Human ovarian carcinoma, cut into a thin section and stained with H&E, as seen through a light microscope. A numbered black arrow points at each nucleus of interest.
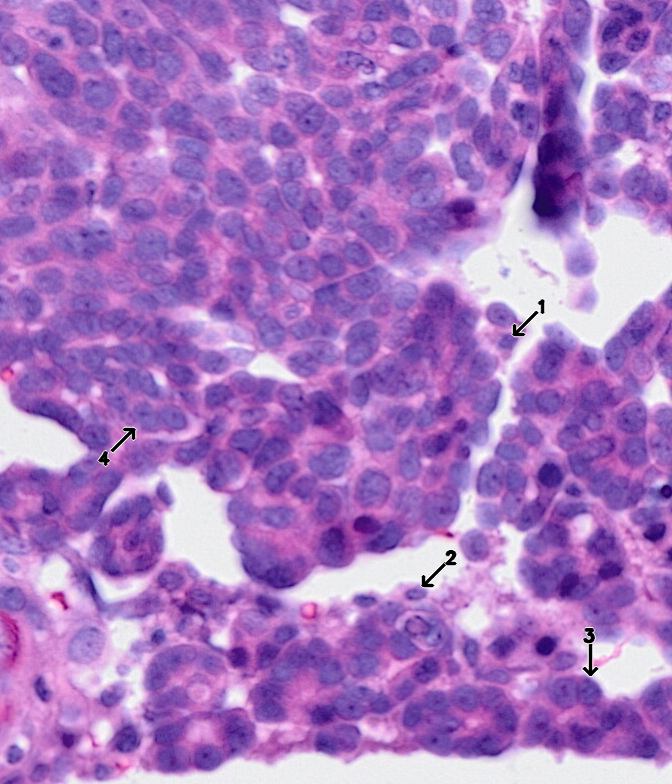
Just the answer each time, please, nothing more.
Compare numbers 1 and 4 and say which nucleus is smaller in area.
1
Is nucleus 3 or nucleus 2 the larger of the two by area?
3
